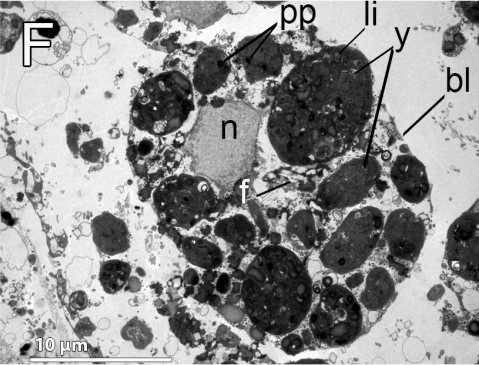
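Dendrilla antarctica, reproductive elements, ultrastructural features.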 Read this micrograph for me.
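This is an embryonic blastomere, a large cell with a pale polygonal nucleus near its centre. Its cytoplasm is crowded with rounded, electron-dense yolk platelets of varied texture, and neighbouring cells are similarly laden with dark inclusions.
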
